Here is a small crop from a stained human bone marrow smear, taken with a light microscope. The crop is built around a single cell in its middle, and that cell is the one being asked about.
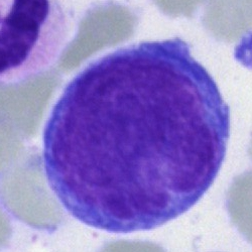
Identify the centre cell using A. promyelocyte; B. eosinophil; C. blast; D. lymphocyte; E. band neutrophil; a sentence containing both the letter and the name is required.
Option C gives the correct identity of the central cell, namely a blast.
